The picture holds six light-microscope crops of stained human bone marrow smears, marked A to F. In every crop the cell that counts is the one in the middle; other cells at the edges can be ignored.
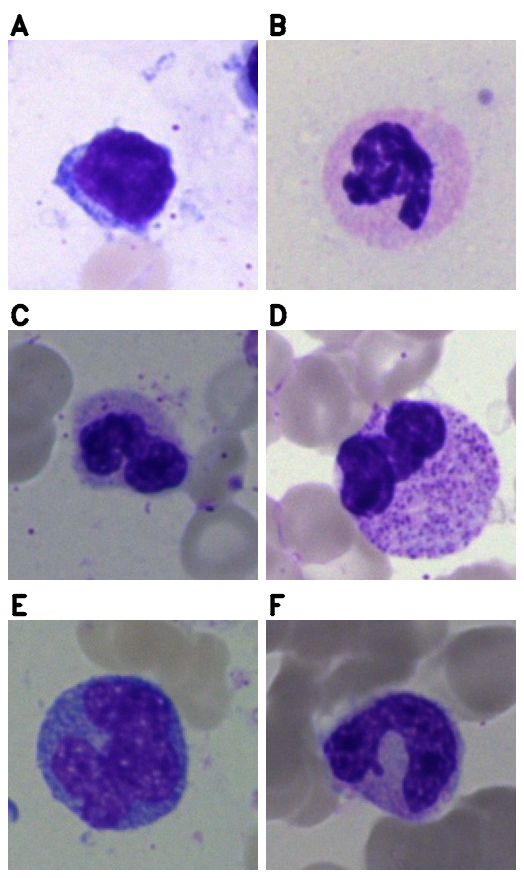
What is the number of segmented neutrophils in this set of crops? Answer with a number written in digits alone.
3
